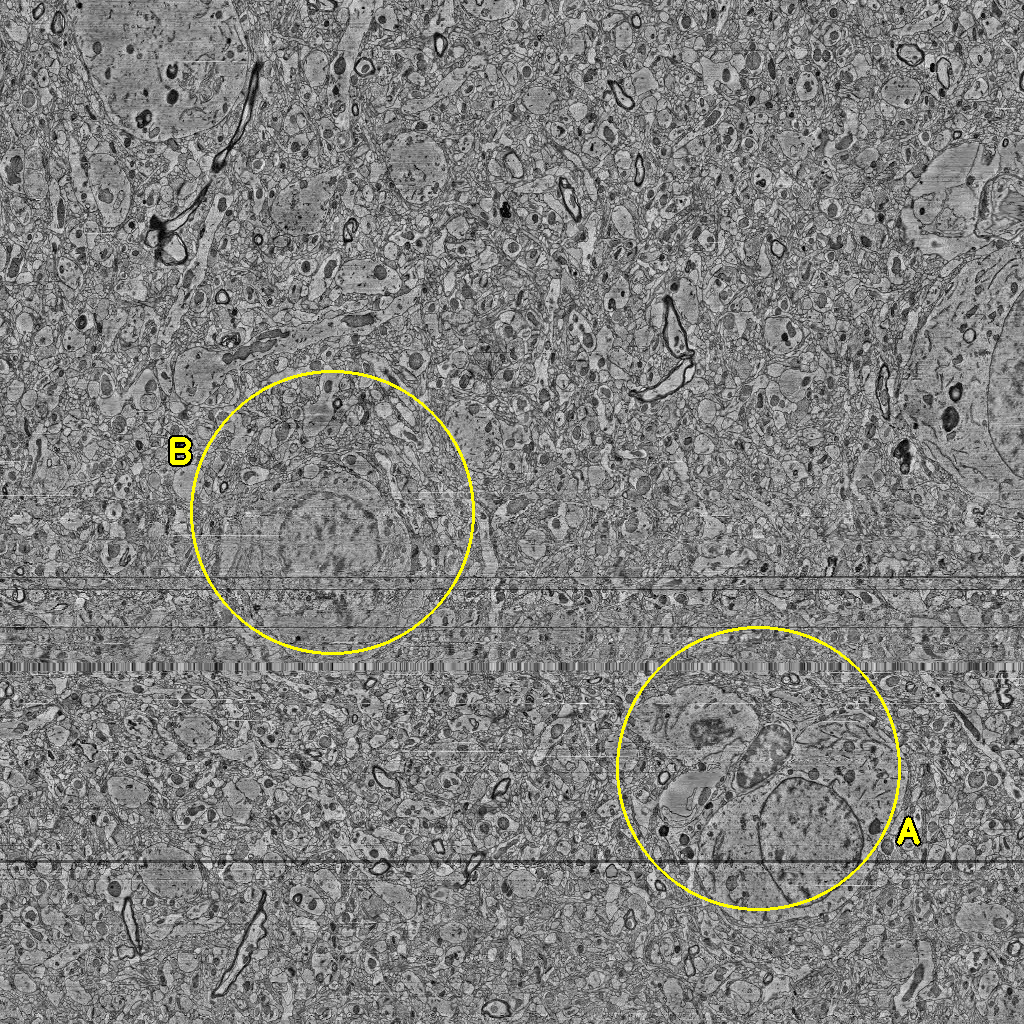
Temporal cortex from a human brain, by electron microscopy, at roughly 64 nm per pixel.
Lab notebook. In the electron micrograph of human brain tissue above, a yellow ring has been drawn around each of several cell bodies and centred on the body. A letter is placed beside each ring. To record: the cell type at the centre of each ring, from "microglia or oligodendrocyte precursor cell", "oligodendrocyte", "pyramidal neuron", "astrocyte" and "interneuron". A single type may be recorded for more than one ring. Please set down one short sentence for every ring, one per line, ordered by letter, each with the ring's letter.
The centre of ring A is occupied by a microglial cell or oligodendrocyte precursor cell.
The centre of ring B is occupied by an interneuron.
